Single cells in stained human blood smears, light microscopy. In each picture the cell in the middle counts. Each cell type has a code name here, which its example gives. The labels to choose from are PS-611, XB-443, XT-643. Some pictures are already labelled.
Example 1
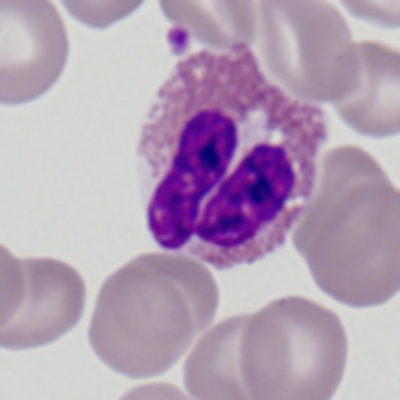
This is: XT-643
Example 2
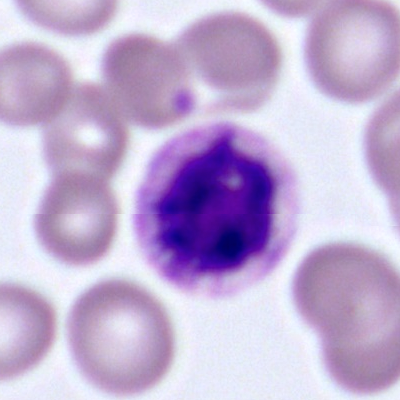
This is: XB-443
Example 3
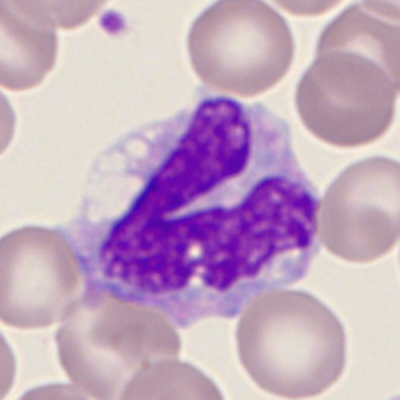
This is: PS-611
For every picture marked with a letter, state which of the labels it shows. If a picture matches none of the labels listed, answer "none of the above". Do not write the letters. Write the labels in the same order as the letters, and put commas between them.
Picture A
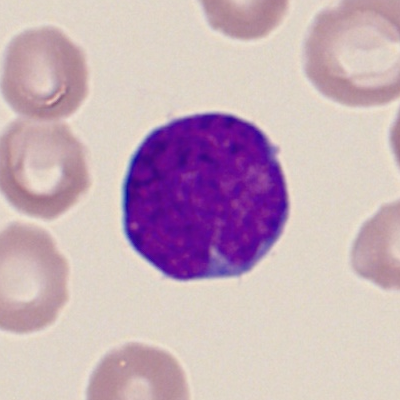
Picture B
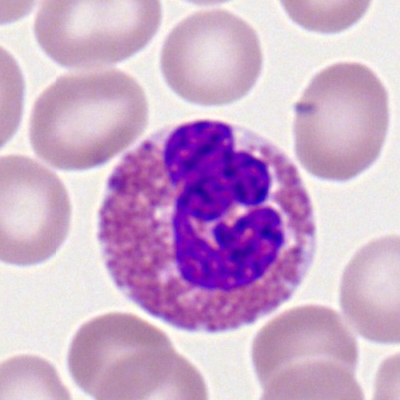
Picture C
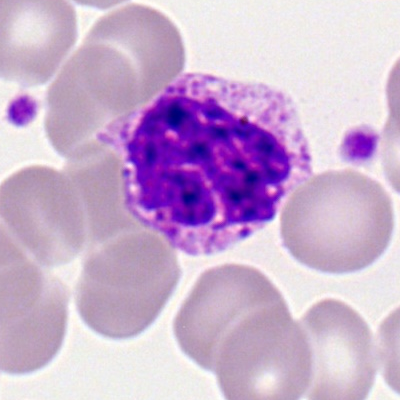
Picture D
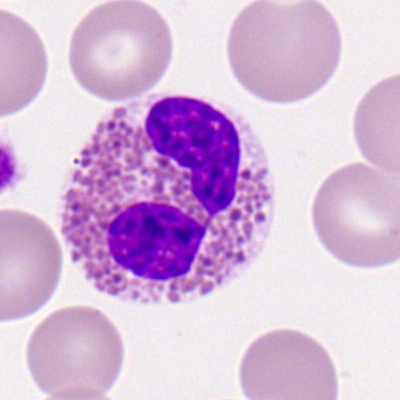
none of the above, XT-643, XB-443, XT-643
